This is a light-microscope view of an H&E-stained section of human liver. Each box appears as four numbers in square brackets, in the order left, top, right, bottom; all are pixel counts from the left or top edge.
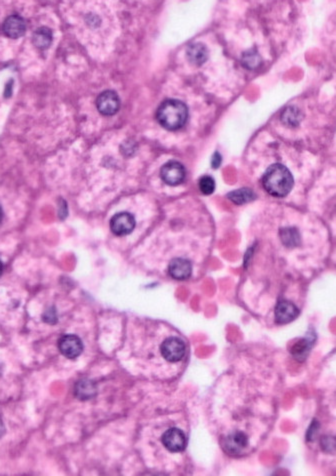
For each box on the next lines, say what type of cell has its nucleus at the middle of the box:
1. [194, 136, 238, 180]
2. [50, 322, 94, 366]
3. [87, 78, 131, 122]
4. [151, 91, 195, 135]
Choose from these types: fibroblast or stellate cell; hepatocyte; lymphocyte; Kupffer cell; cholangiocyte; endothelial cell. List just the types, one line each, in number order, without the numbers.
lymphocyte
hepatocyte
hepatocyte
hepatocyte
